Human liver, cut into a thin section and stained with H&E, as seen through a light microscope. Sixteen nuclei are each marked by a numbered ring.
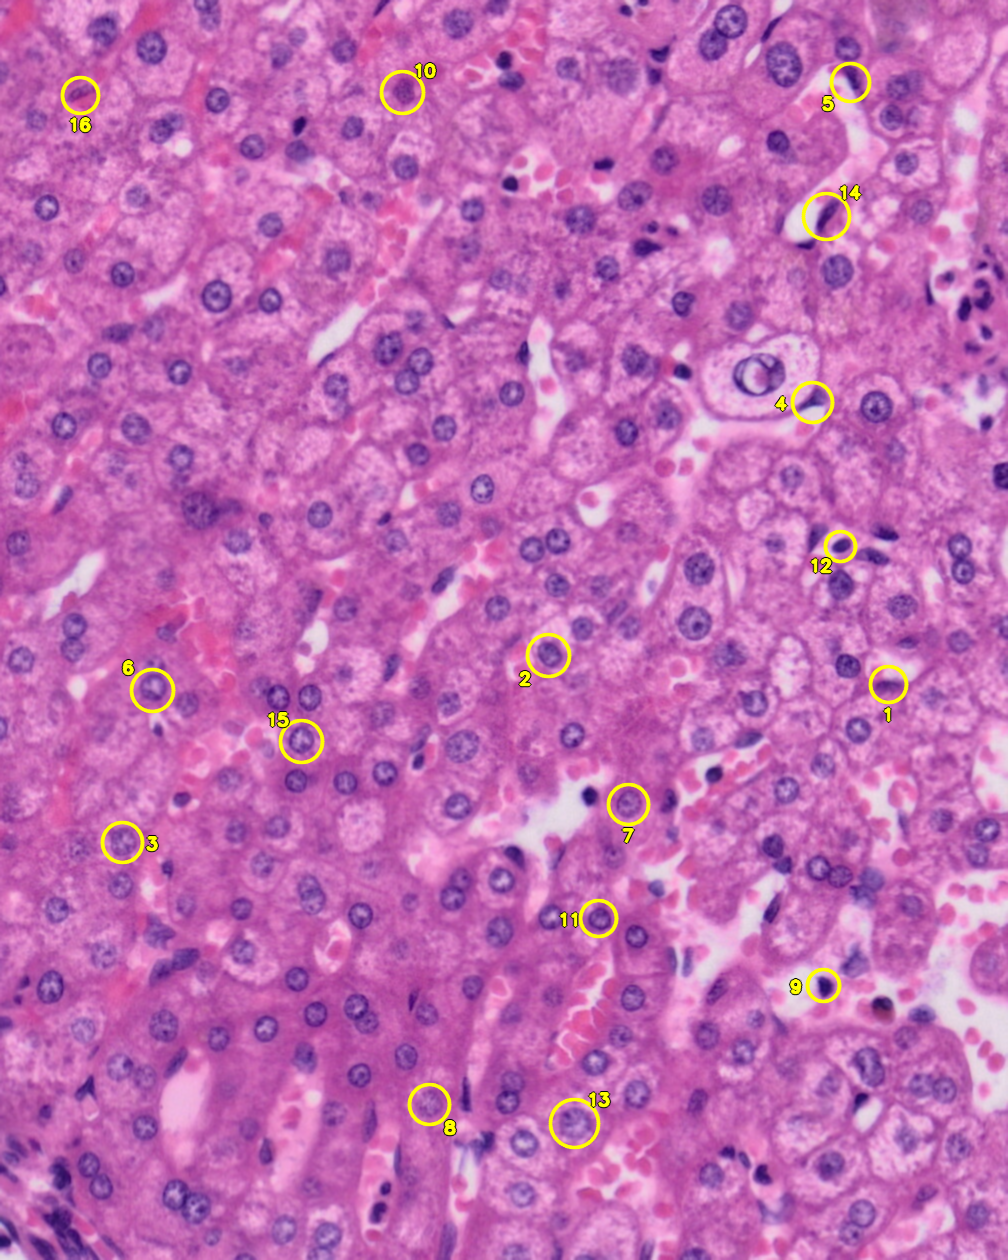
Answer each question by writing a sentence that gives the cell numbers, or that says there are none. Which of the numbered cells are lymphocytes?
The cells marked 9 and 12 in the section are lymphocytes.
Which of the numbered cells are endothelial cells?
The cells carrying the numbers 1, 4, 5 and 16 are endothelial cells.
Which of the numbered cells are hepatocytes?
Classified as hepatocytes are the cells numbered 2, 3, 6, 7, 8, 10, 11, 13 and 15.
